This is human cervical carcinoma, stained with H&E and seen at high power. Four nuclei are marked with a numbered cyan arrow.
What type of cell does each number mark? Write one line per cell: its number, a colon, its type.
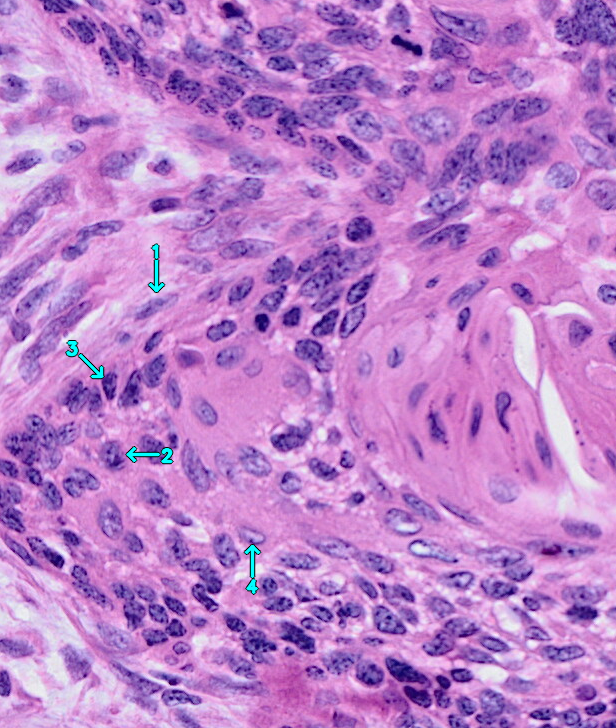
1: fibroblast
2: squamous carcinoma cell
3: squamous carcinoma cell
4: squamous carcinoma cell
